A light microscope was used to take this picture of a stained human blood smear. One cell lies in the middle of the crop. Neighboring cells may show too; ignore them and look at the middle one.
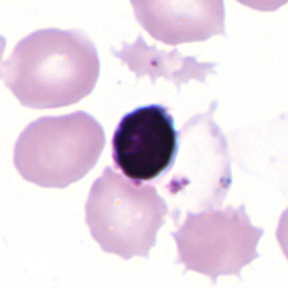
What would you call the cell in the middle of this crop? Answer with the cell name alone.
normoblast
